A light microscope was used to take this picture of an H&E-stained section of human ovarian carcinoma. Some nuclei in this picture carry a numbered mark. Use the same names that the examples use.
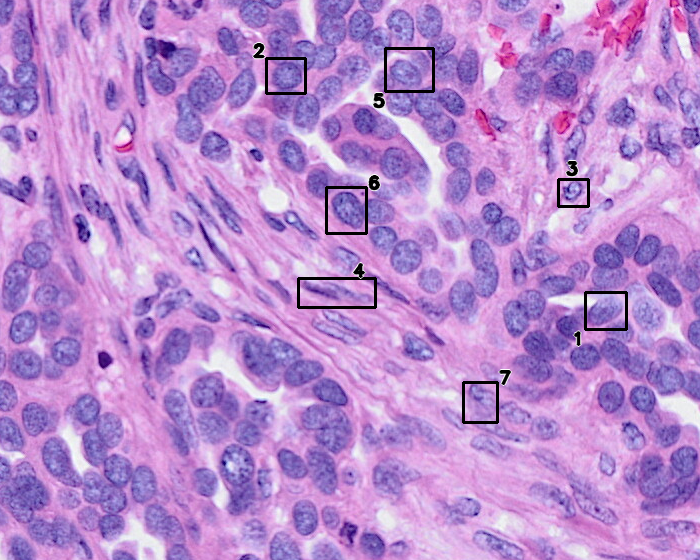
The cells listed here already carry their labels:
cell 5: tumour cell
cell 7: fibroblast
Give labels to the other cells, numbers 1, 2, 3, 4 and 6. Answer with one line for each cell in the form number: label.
1: tumour cell
2: tumour cell
3: fibroblast
4: fibroblast
6: tumour cell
